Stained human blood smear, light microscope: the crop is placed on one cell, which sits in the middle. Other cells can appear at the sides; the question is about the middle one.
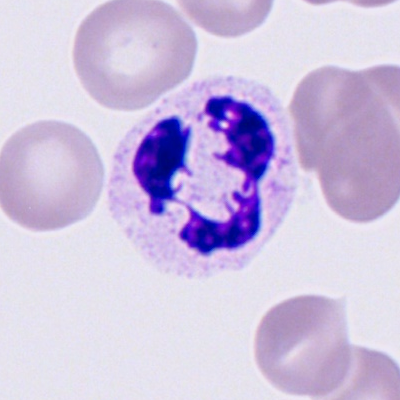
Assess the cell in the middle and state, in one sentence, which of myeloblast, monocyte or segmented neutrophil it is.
This crop has a segmented neutrophil at its centre.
